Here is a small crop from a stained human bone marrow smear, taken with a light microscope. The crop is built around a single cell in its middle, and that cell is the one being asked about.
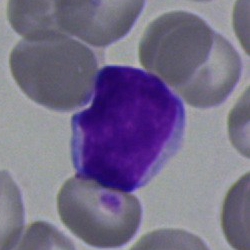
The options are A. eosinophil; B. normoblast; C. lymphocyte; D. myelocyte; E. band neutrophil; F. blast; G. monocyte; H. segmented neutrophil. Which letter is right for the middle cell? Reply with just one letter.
C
